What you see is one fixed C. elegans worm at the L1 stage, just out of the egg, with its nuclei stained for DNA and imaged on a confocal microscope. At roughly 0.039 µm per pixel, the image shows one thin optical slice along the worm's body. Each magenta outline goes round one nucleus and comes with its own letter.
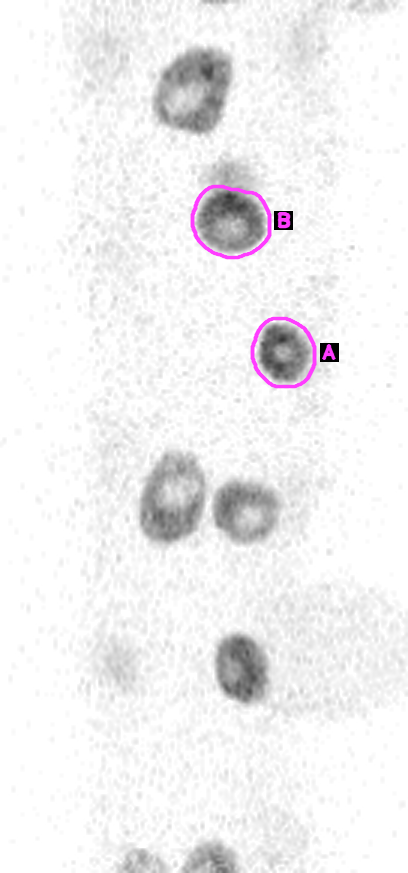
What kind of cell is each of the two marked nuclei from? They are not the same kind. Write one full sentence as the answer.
A is in a P cell (ventral epidermal blast cell) and B is in a seam cell.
